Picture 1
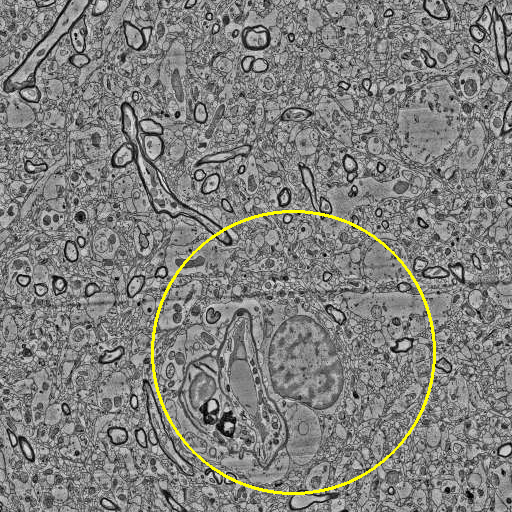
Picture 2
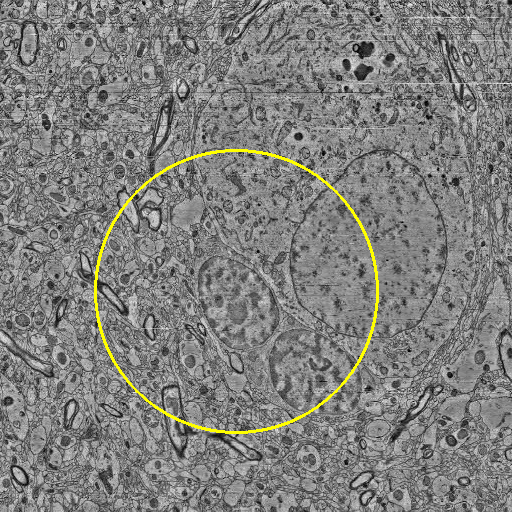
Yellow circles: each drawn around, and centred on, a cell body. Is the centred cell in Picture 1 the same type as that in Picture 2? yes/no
yes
